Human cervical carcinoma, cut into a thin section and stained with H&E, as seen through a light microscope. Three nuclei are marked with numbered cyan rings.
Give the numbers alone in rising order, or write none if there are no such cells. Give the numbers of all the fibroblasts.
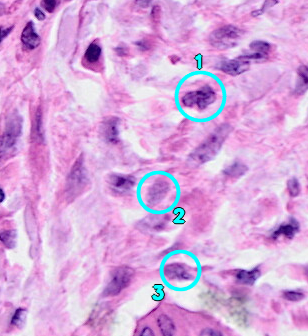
2, 3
